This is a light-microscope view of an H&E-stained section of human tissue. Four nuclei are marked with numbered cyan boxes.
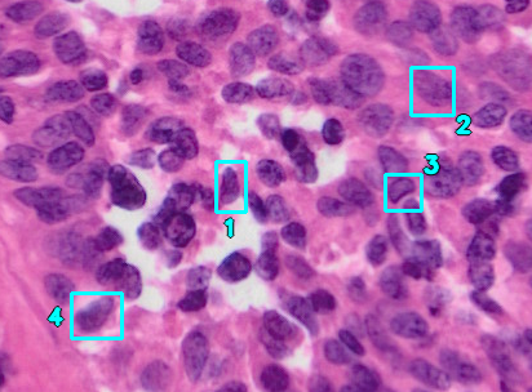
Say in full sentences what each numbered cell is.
Cell 1 is a macrophage or monocyte, cell 2 is a carcinoma cell, cell 3 is a carcinoma cell and cell 4 is a carcinoma cell.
